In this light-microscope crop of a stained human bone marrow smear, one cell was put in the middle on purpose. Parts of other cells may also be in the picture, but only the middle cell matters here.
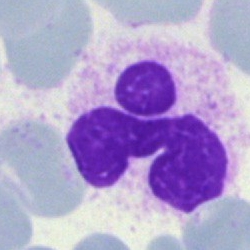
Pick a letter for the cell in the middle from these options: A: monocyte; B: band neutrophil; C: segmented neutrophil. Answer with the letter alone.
C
